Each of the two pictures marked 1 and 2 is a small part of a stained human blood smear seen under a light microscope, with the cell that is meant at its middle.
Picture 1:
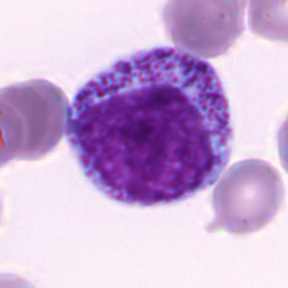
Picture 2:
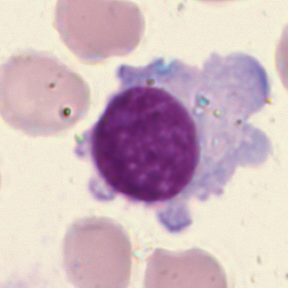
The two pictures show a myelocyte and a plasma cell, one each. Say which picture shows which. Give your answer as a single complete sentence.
The cell in picture 1 is a myelocyte, and the one in picture 2 is a plasma cell.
